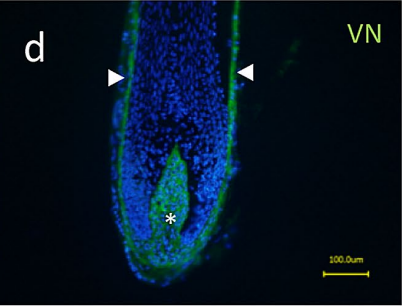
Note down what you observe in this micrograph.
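At the base, a pear-shaped dermal papilla stains green and is enclosed by the densely packed cells of the bulb. A thin green connective tissue sheath runs along the outer edge of the follicle, around the bulb and up both sides.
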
